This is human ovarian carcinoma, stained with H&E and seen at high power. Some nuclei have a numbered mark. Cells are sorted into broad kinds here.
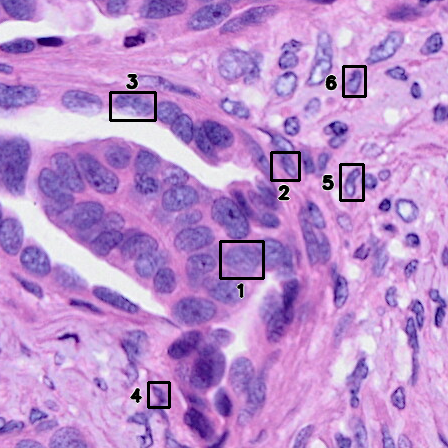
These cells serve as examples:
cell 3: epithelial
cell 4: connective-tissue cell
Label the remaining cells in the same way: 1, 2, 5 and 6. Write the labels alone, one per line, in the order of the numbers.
epithelial
connective-tissue cell
connective-tissue cell
connective-tissue cell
